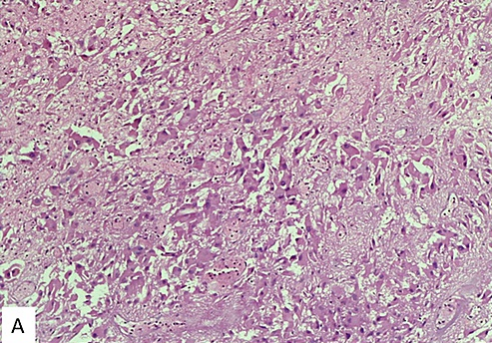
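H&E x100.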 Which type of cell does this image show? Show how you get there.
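Cells are large, angular to elongated. Cytoplasm is abundant and pink. On this evidence: sheets of large polygonal to elongate cells.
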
